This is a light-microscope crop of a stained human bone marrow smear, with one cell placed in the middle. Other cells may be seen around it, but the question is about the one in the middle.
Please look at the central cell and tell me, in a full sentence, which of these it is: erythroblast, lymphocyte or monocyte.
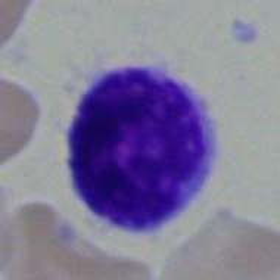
In the middle of this smear crop, the cell is a lymphocyte.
